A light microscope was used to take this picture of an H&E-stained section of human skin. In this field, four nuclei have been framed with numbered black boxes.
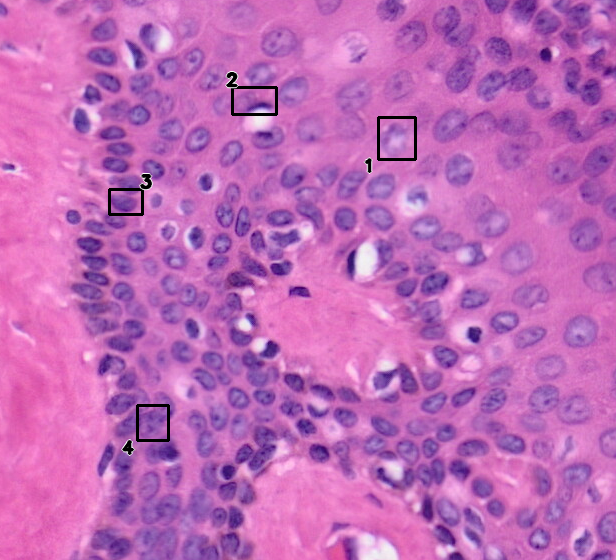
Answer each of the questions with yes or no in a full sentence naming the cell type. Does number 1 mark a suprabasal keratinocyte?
Yes, the cell identified as number 1 is a suprabasal keratinocyte.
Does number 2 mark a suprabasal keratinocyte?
Yes, a suprabasal keratinocyte is what the cell numbered 2 is.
